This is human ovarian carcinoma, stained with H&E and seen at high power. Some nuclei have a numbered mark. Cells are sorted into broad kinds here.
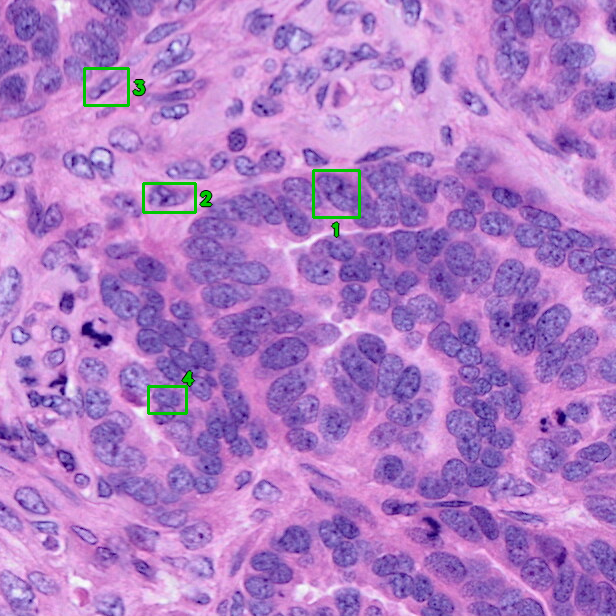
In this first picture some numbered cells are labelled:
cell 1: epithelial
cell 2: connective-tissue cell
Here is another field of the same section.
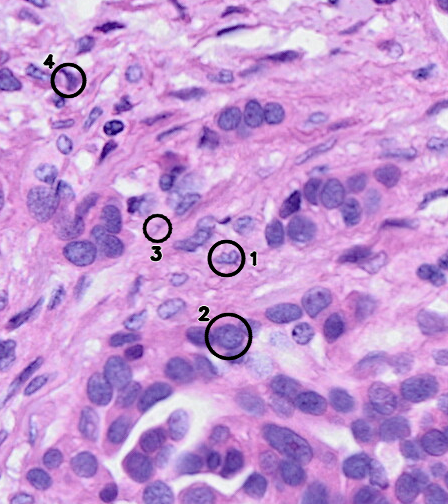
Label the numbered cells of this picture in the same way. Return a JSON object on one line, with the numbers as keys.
{"1": "connective-tissue cell", "2": "epithelial", "3": "connective-tissue cell", "4": "connective-tissue cell"}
